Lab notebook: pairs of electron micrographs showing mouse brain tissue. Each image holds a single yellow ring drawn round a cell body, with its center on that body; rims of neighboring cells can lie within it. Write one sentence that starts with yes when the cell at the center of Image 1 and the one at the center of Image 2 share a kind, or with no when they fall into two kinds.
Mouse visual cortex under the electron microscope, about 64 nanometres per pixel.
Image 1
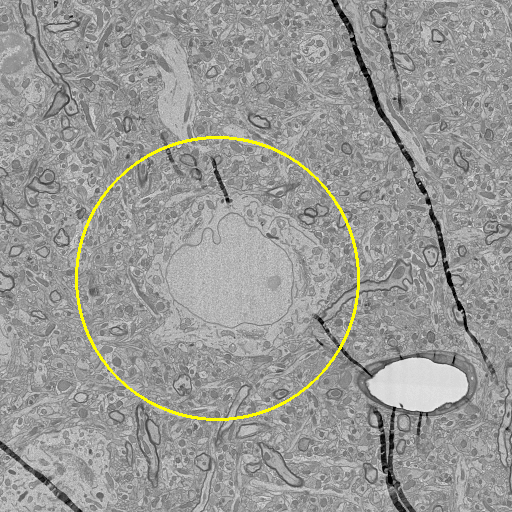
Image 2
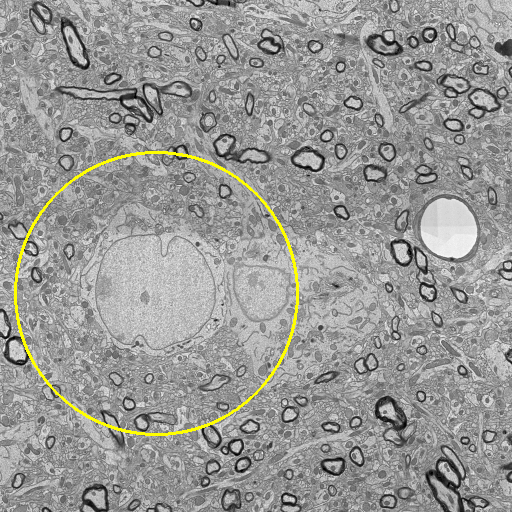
Yes, the centered cell in Image 1 and the centered cell in Image 2 are of one kind.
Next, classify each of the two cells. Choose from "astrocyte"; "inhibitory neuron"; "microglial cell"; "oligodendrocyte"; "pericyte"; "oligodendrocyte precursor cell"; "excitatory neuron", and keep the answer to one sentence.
Each of the two cells is an excitatory neuron.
